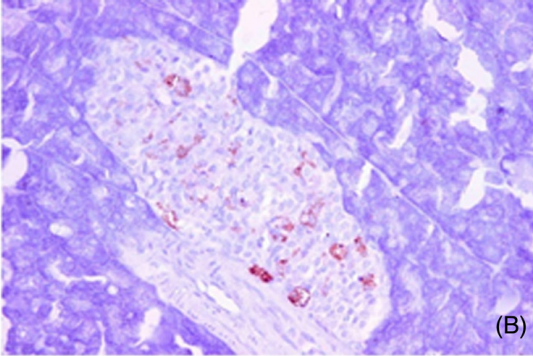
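Pancreatic islet, elongated, set among purple-stained exocrine acini and bordered on one side by a thin band of paler connective tissue. Islet cells are pale with round nuclei and lightly stained cytoplasm. Scattered single cells throughout the islet carry dense brown cytoplasmic stain, most conspicuous toward its lower end. The surrounding acini are packed tightly with narrow clear gaps between them.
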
